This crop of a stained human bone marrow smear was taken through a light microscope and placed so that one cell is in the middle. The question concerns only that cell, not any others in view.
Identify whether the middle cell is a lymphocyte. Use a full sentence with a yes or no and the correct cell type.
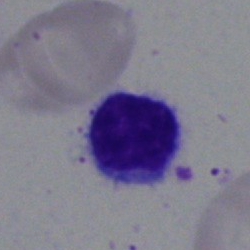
Yes, the central element of the crop is a lymphocyte.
